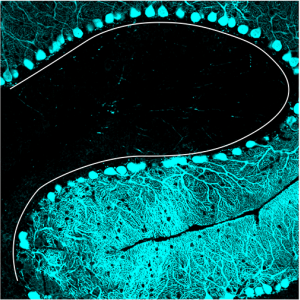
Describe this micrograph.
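This is cerebellar cortex with its Purkinje neurons lit up in cyan. Their large, rounded cell bodies sit one beside the next in a single, unbroken row that follows the curve of the folium. Dense, branching dendritic trees rise from them into the adjoining layer.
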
